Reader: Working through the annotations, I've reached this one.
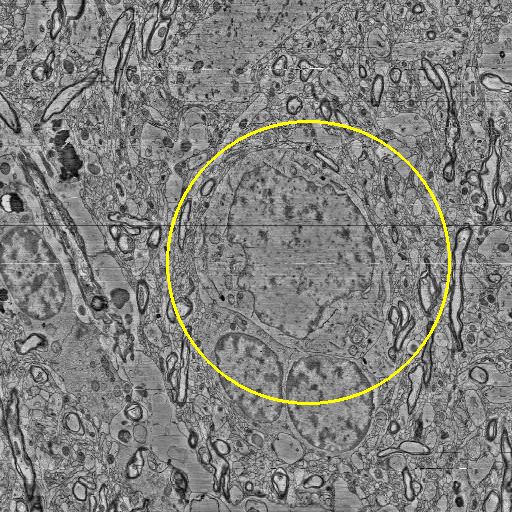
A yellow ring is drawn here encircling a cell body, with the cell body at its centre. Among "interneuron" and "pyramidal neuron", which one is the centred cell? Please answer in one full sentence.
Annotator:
The cell body at the centre of the yellow ring in this image belongs to an interneuron.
